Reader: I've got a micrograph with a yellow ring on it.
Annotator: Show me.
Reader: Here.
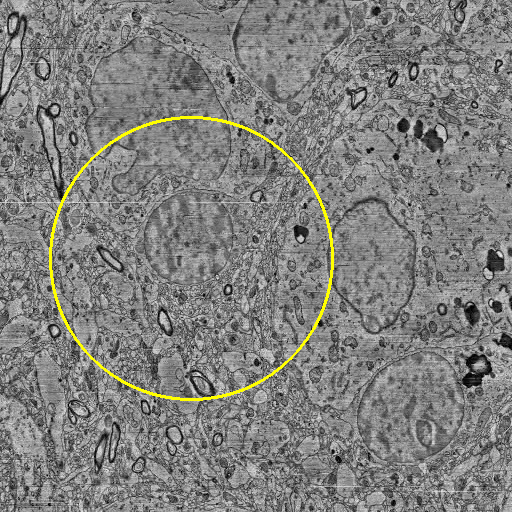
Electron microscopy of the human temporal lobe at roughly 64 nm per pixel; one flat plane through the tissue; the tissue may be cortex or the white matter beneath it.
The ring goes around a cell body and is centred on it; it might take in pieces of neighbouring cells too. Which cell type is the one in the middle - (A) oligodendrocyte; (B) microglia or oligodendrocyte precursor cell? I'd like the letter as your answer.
A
